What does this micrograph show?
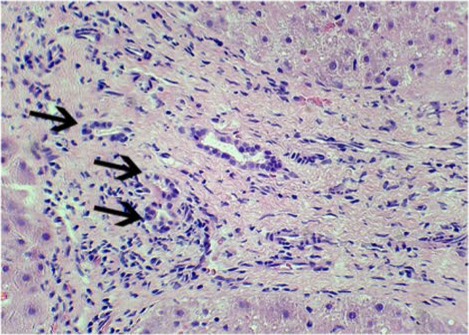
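This is liver tissue with a widened portal area surrounded by hepatocytes. The portal area is filled with pink fibrous tissue containing many elongated, spindle-shaped dark nuclei, and a small vessel lumen lies within it. Small clusters of cells with crowded, dark nuclei form duct-like groups within the fibrous tissue, particularly toward its edges. The surrounding hepatocytes are polygonal with pink cytoplasm and round nuclei, arranged in plates. The fibrous band spreads outward and separates the liver cell plates.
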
